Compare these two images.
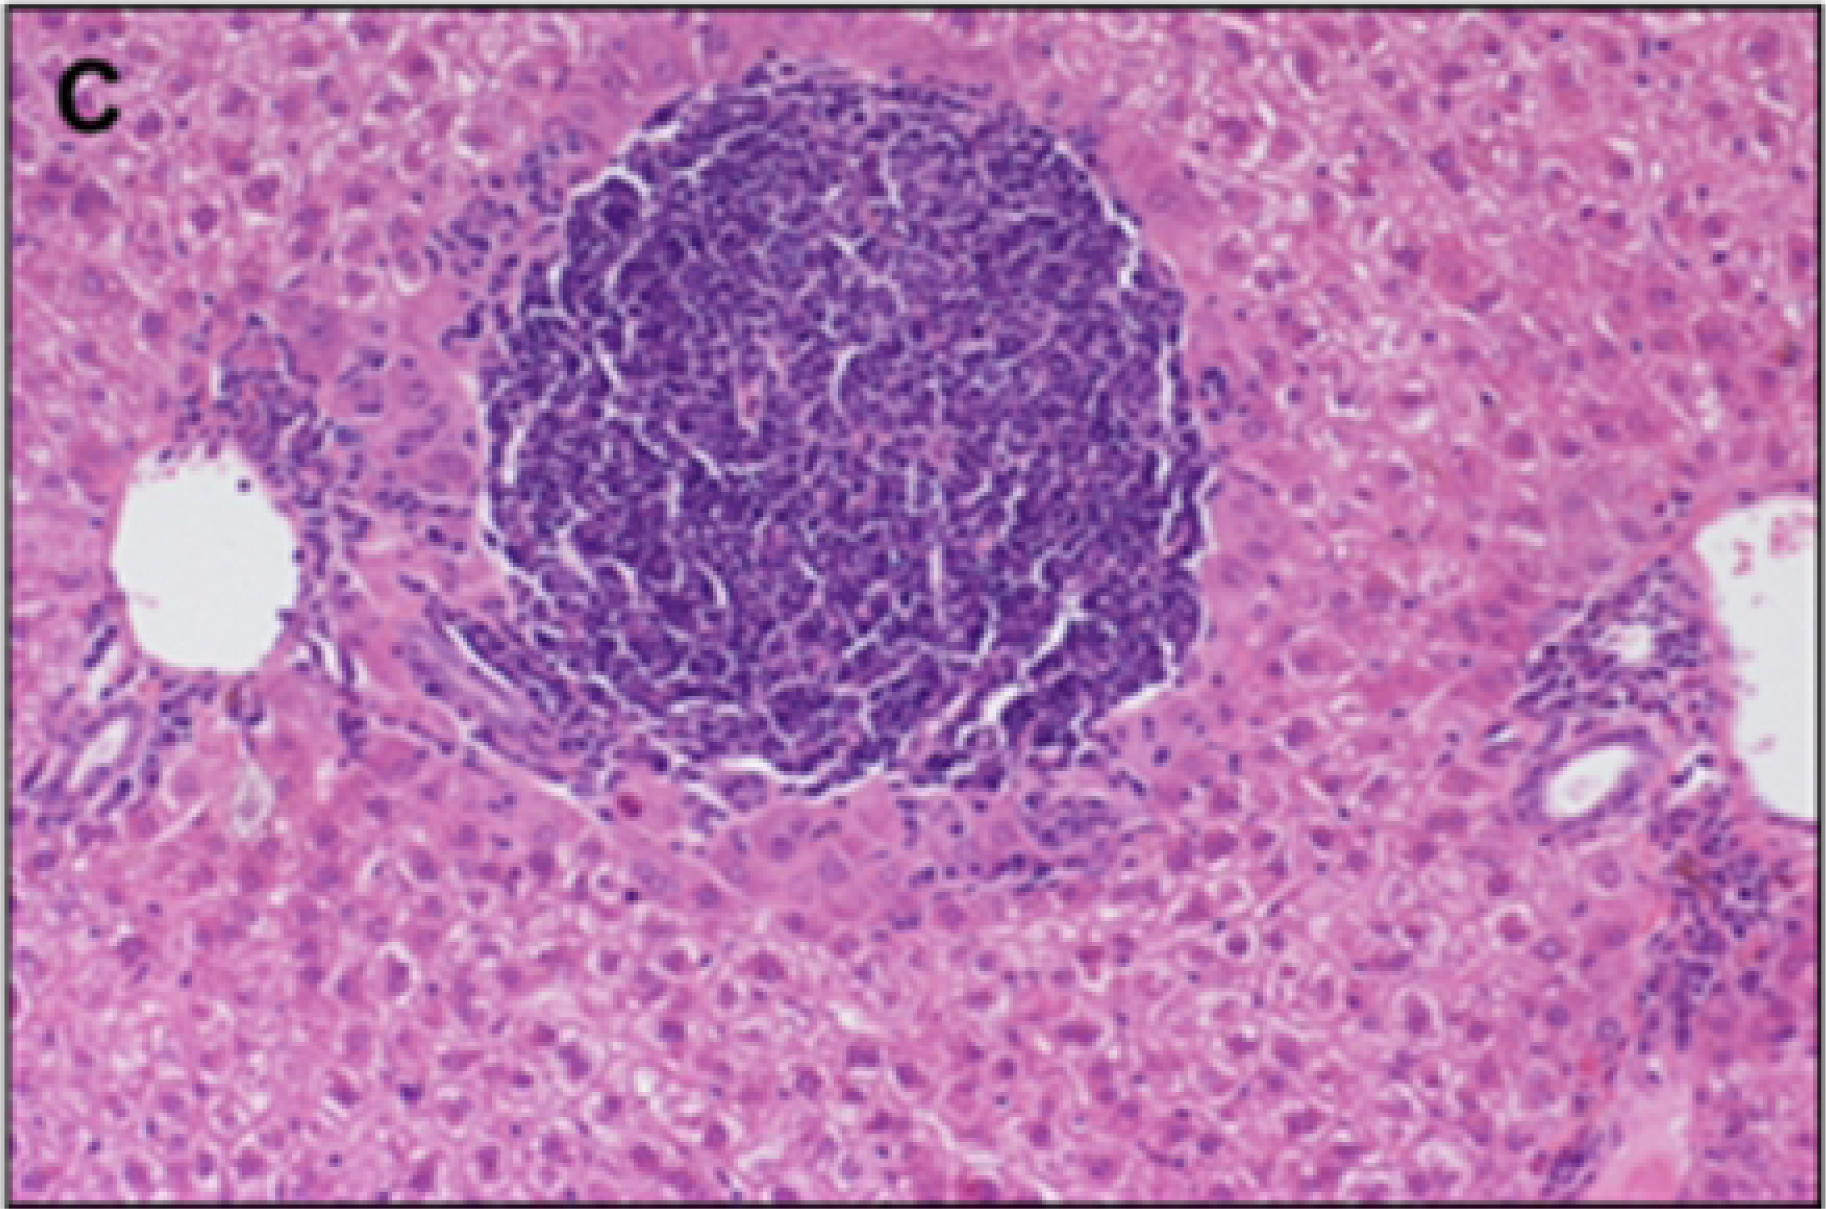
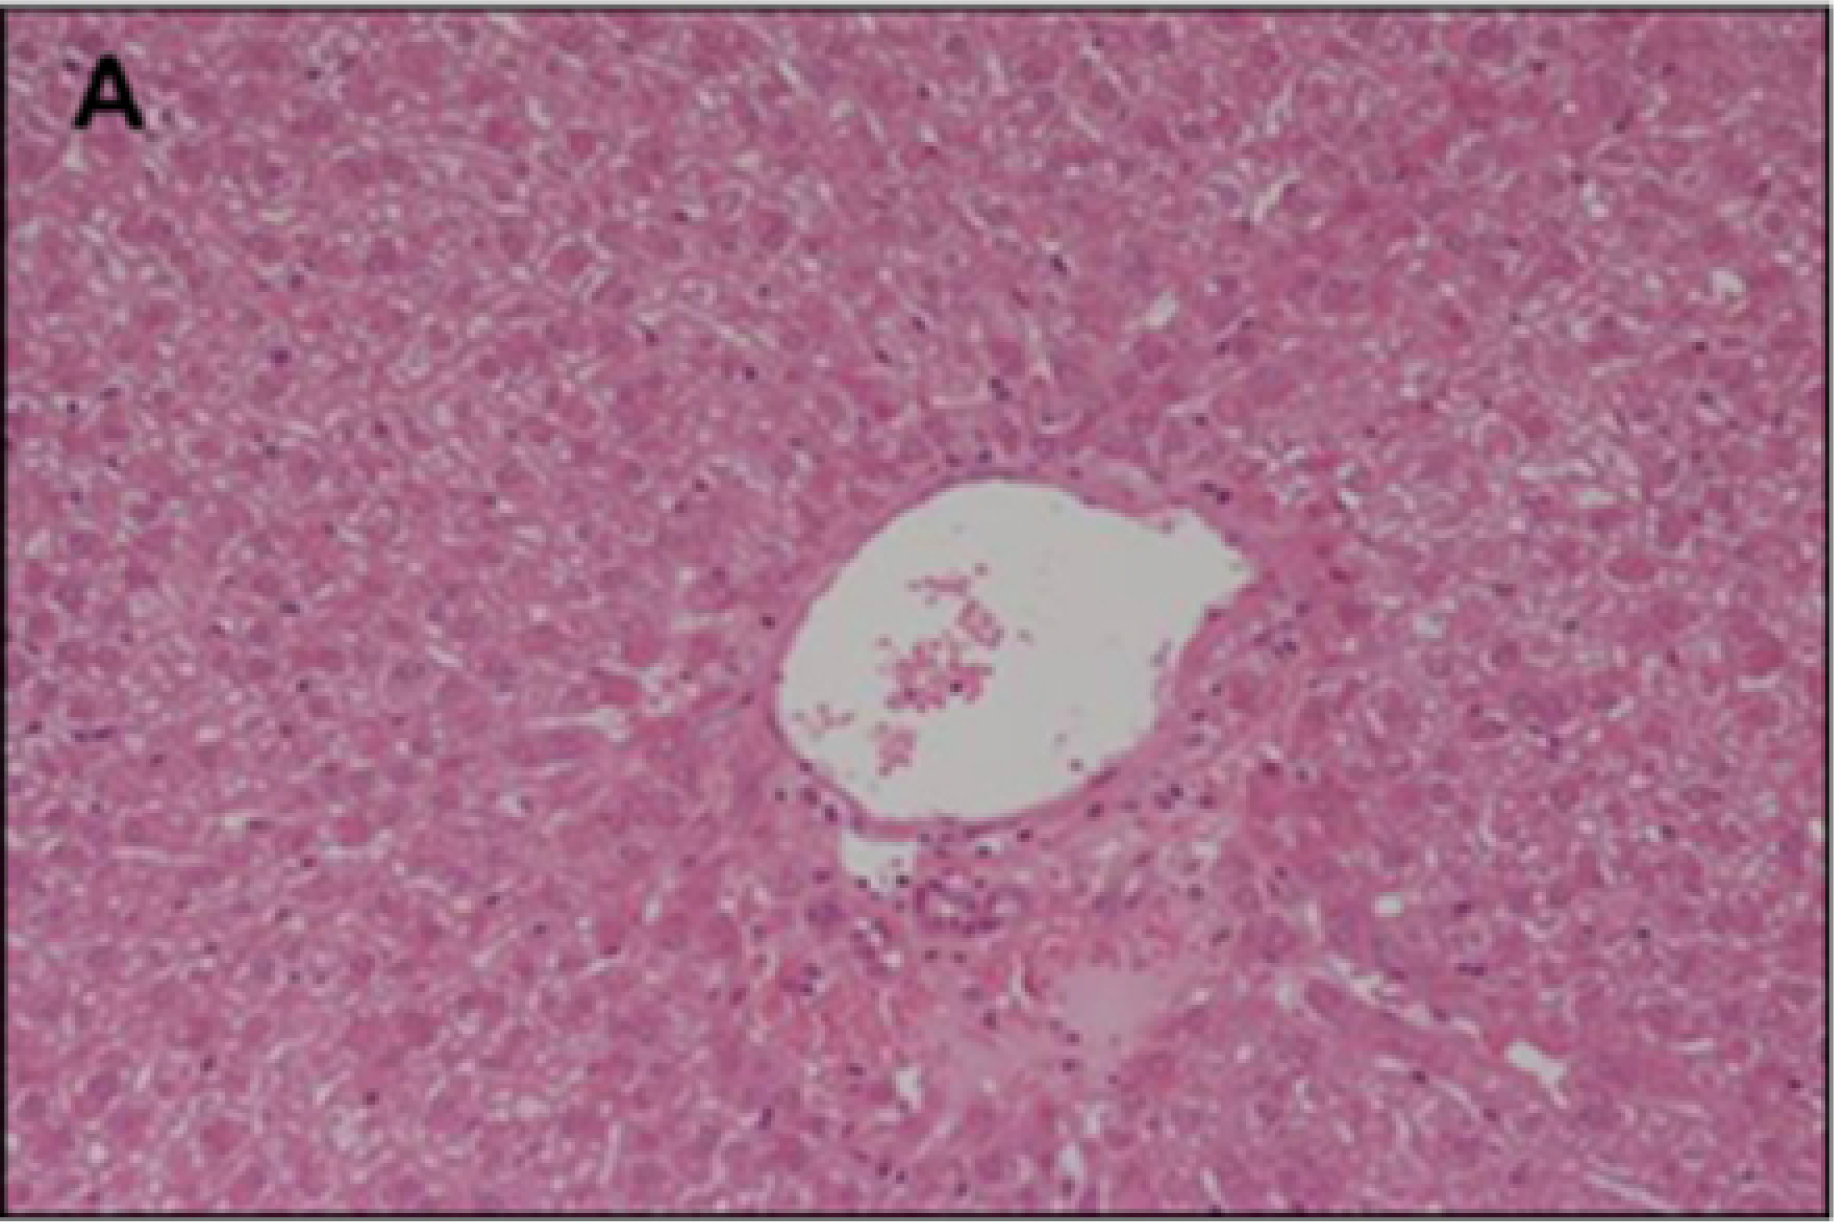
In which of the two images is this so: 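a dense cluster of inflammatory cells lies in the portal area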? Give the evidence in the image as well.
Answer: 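First image: a large rounded aggregate of small dark-nucleated cells sits beside the portal vessels. Second image: the area around the large vessel has only scattered nuclei and no dense dark aggregate.
Answer: the first image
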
